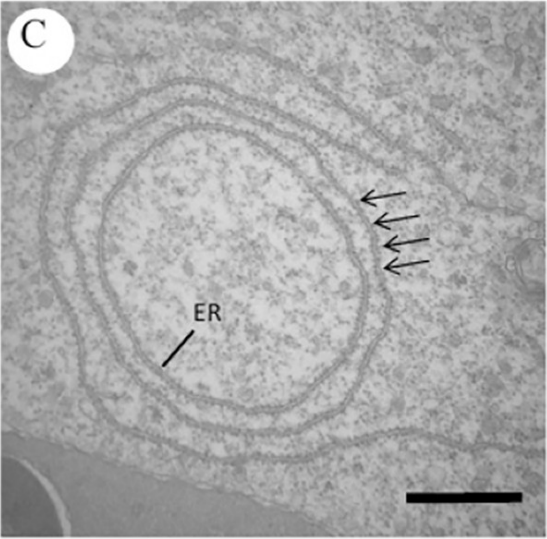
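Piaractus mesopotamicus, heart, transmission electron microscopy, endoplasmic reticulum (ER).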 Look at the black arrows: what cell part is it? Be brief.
Ribosomes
